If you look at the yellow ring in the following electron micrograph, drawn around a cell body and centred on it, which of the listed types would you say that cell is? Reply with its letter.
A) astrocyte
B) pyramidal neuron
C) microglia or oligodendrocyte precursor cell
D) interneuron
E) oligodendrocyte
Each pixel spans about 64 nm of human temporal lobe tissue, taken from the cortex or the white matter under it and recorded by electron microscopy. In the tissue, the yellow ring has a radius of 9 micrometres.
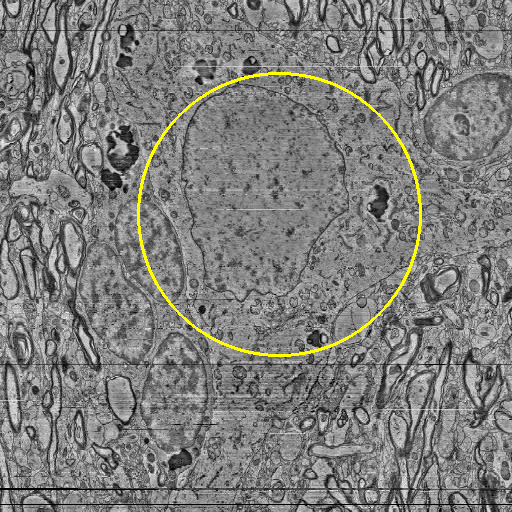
B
